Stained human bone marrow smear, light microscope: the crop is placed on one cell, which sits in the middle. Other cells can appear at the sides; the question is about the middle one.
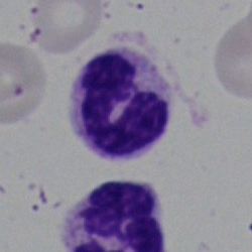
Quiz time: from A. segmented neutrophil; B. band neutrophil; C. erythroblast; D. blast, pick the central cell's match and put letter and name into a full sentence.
Option A is right, the centrally situated cell being a segmented neutrophil.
